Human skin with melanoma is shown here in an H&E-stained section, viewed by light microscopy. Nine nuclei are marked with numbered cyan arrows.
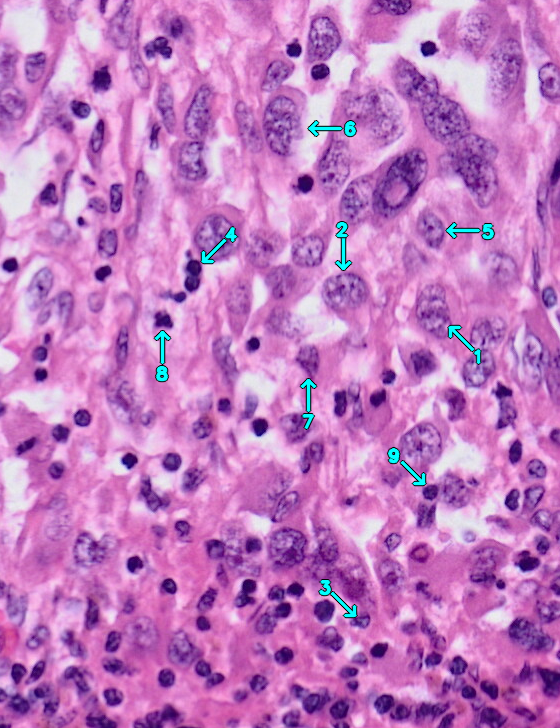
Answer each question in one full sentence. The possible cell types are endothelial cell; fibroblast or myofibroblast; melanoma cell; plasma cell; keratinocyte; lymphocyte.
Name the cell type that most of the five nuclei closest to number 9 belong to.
Most of the five nuclei nearest to number 9 are those of melanoma cells.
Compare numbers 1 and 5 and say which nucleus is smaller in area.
It is nucleus 5; nucleus 1 has about 2 times its area.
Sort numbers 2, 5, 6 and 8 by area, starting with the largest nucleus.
Largest first, the order by area is 6, 2, 5, 8.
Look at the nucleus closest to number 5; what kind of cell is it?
Closest to number 5 lies the nucleus of a melanoma cell.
